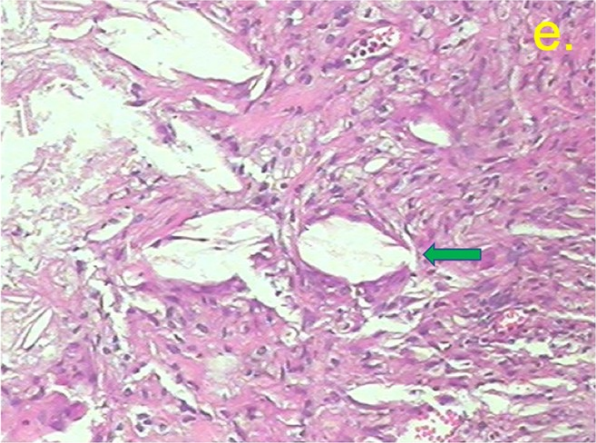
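Pink fibrous stroma is riddled with many clear, empty spaces of varying size, some oval, some elongated or angular, with sharp smooth edges. Between these spaces lie numerous cells with small dark purple nuclei, densely scattered through the stroma rather than arranged into any glandular structure.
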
